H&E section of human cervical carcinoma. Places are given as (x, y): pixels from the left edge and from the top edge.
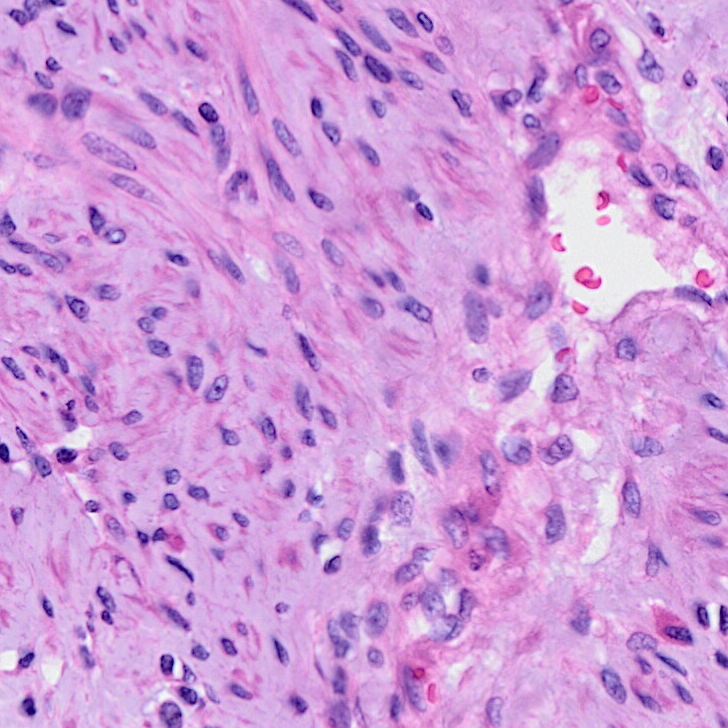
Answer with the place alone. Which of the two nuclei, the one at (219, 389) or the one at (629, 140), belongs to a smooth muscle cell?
(219, 389)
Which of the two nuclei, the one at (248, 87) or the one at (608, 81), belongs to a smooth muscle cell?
(248, 87)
